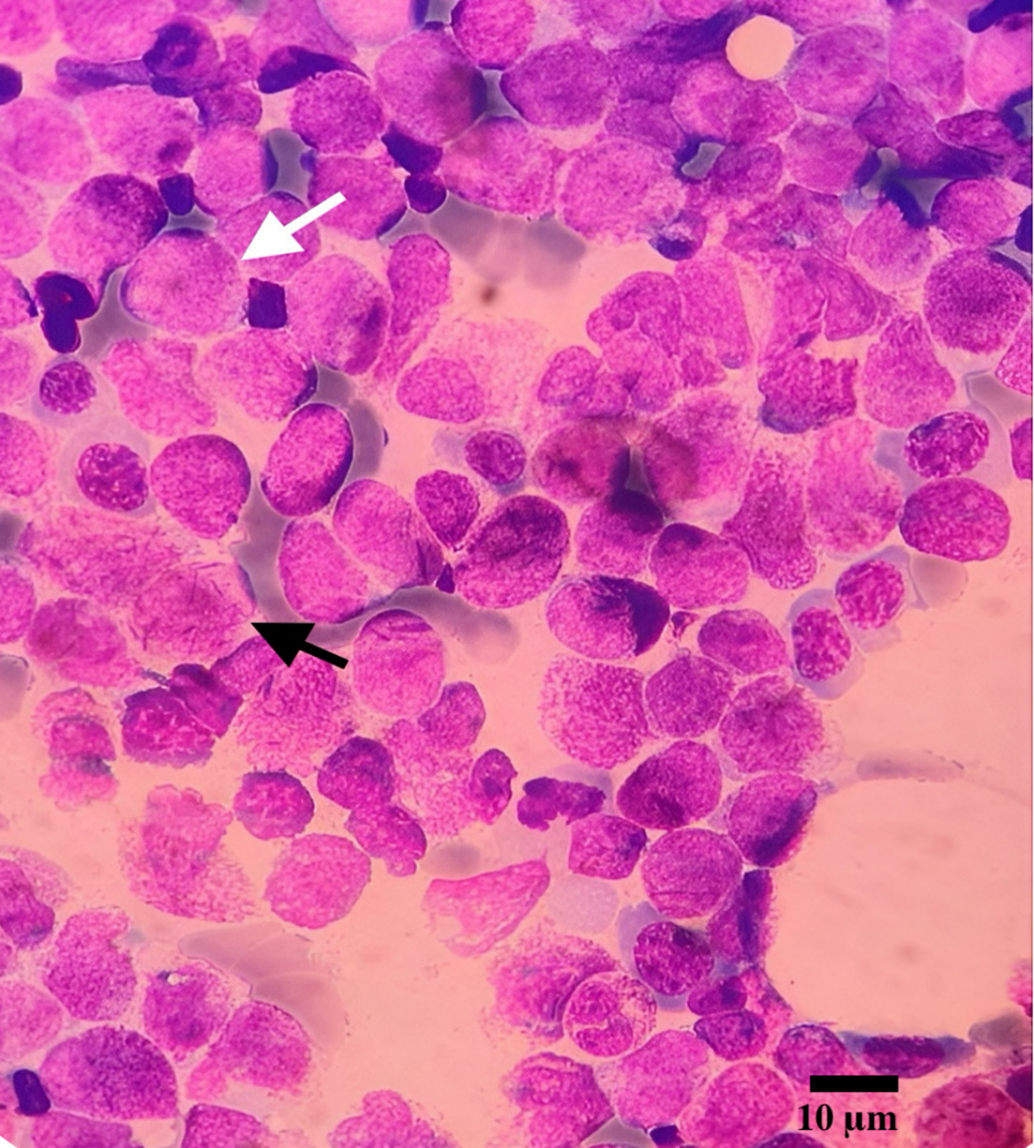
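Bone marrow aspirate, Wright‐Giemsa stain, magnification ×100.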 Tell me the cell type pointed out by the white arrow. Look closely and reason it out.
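The marked cell is large and round with abundant pink-purple granular cytoplasm. The cell is one of many similar large granular cells packed in the field. So: abnormal promyelocyte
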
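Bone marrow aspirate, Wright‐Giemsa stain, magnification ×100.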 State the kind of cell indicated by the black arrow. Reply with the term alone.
faggot cell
